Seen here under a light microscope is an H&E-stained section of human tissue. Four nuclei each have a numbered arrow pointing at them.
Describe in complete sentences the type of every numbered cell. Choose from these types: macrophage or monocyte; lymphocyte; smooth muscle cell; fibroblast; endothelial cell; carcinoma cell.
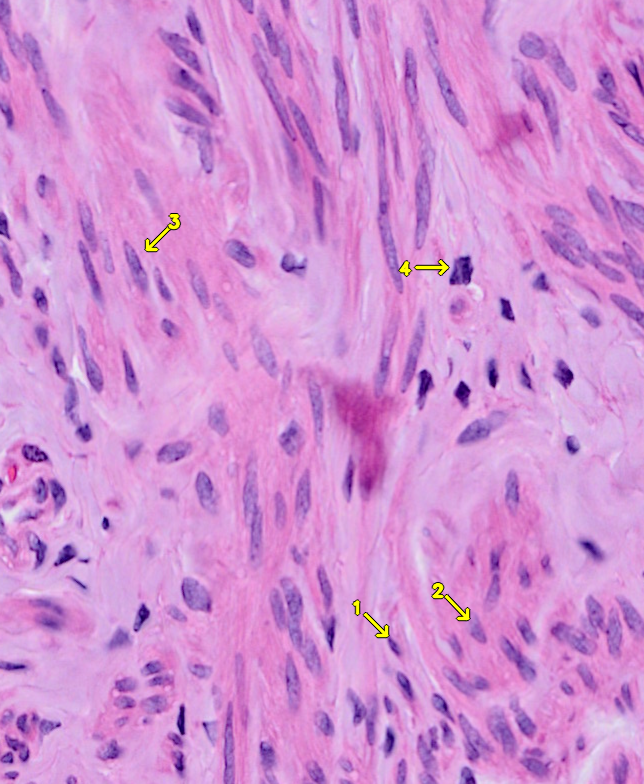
Cell 1 is a smooth muscle cell, cell 2 is a smooth muscle cell, cell 3 is a smooth muscle cell and cell 4 is a fibroblast.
